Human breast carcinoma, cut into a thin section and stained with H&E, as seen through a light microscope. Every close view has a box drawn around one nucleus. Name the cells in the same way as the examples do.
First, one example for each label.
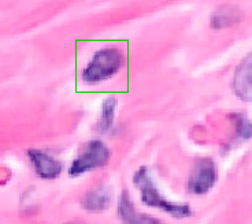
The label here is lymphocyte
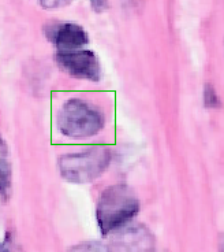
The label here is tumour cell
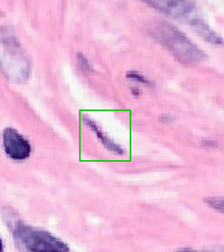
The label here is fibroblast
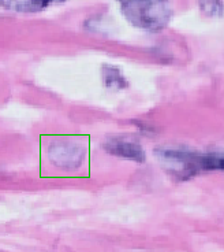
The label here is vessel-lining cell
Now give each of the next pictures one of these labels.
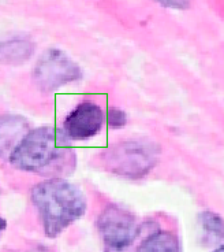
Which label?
tumour cell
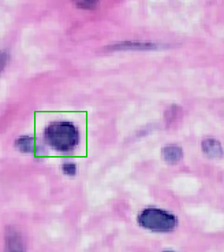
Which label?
lymphocyte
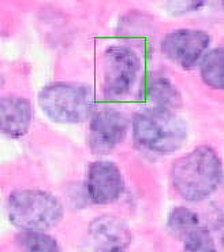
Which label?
tumour cell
